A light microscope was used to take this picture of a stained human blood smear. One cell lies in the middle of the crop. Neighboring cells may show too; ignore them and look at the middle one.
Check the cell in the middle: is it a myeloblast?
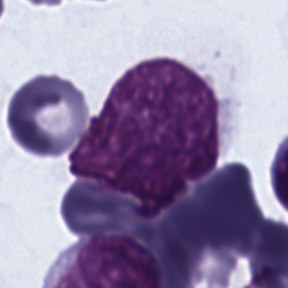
no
